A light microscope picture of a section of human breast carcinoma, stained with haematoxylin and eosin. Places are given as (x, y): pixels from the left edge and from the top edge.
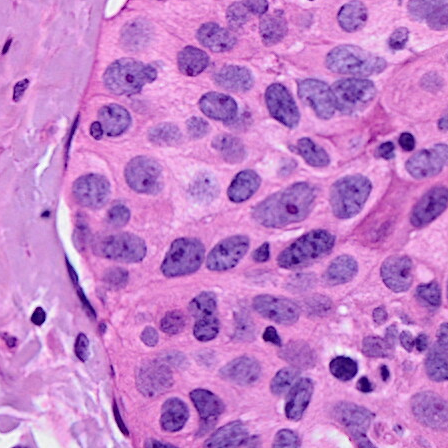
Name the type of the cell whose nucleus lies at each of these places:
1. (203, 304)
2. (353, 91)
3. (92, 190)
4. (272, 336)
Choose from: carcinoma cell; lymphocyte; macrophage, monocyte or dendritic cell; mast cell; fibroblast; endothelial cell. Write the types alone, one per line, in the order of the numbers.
carcinoma cell
carcinoma cell
carcinoma cell
lymphocyte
